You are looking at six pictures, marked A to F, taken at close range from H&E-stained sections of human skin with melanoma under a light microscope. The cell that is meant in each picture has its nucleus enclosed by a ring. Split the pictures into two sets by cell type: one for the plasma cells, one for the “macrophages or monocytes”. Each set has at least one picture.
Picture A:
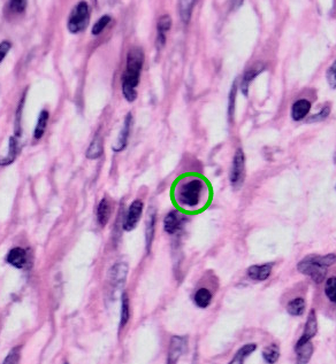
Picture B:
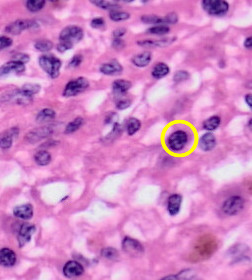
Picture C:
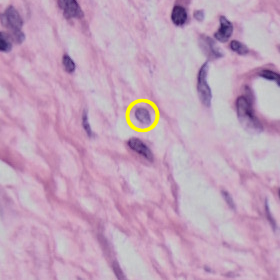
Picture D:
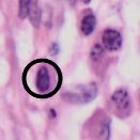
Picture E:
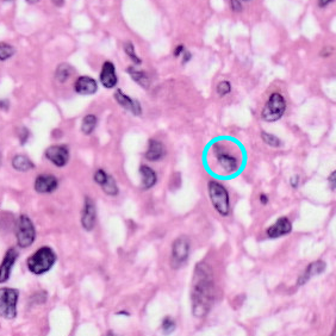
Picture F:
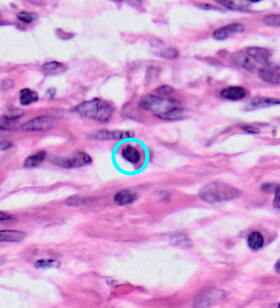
A: plasma cell
B: plasma cell
C: macrophage or monocyte
D: plasma cell
E: macrophage or monocyte
F: plasma cell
